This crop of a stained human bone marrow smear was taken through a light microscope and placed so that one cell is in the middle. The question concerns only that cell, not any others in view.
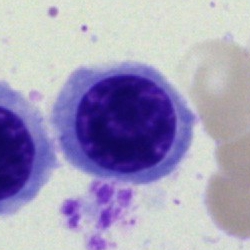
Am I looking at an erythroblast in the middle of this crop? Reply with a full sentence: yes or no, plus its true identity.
Yes, the cell at the middle of the frame is an erythroblast.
